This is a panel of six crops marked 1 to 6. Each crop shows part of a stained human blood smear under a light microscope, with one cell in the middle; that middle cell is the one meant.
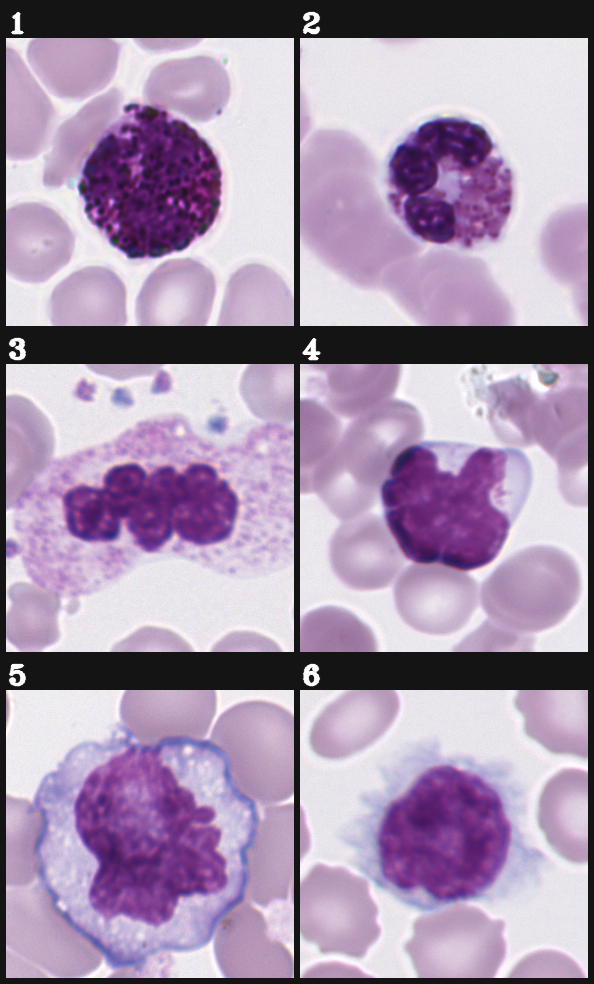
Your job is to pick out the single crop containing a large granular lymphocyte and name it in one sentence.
Of the cells presented, the one in crop 4 is a large granular lymphocyte.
